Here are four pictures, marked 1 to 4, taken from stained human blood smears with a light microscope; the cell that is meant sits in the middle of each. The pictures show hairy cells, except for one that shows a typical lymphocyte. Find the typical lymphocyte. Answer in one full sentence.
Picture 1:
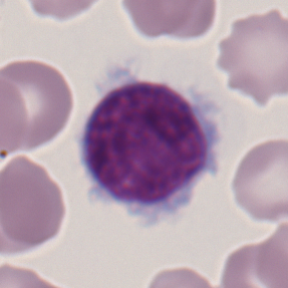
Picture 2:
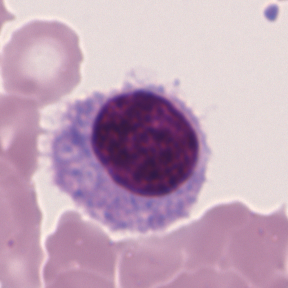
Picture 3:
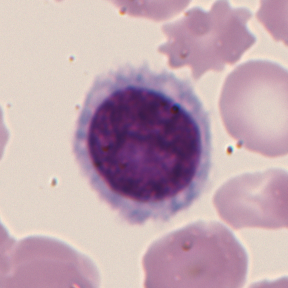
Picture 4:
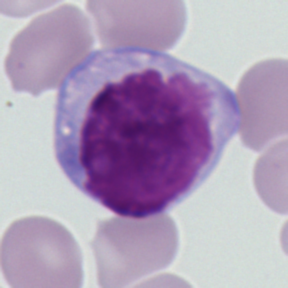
Picture 4 is the one that shows the typical lymphocyte.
